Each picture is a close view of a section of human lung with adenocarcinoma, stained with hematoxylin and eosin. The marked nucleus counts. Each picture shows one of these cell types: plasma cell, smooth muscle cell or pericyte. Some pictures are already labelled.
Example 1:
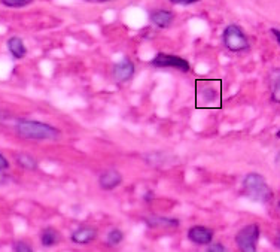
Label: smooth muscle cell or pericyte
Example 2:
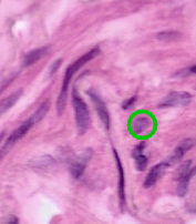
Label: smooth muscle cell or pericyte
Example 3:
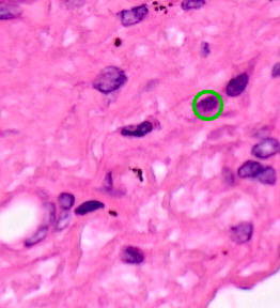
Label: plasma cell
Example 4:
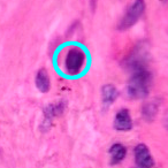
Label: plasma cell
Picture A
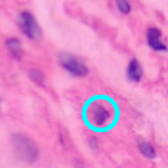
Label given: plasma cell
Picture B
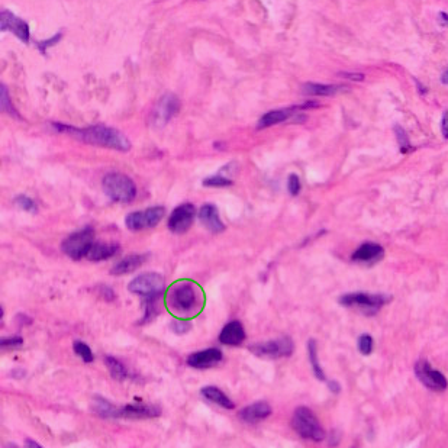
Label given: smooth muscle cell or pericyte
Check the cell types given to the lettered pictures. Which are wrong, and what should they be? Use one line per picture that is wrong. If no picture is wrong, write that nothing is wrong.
Wrong: A (plasma cell); correct: smooth muscle cell or pericyte
Wrong: B (smooth muscle cell or pericyte); correct: plasma cell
